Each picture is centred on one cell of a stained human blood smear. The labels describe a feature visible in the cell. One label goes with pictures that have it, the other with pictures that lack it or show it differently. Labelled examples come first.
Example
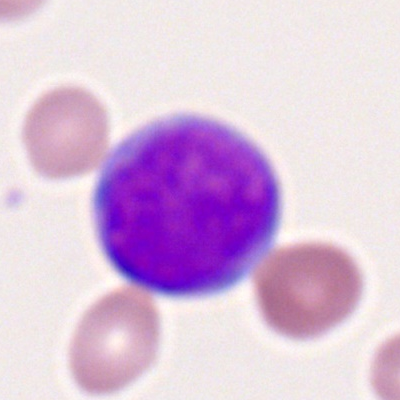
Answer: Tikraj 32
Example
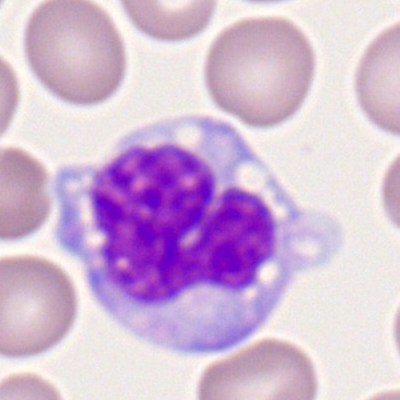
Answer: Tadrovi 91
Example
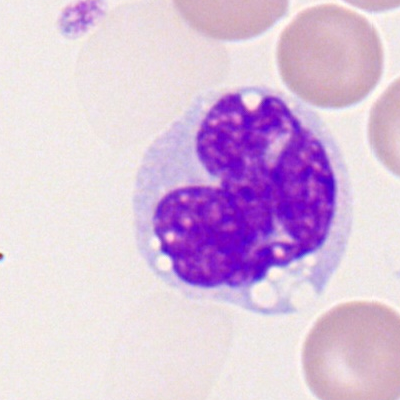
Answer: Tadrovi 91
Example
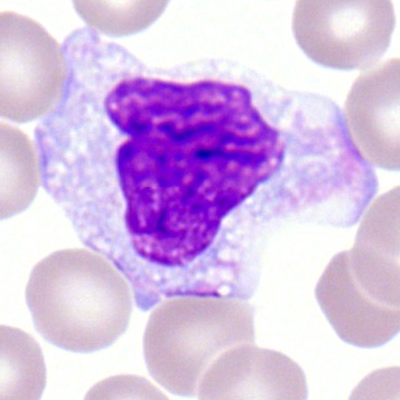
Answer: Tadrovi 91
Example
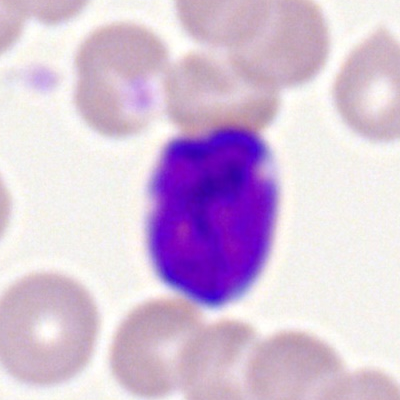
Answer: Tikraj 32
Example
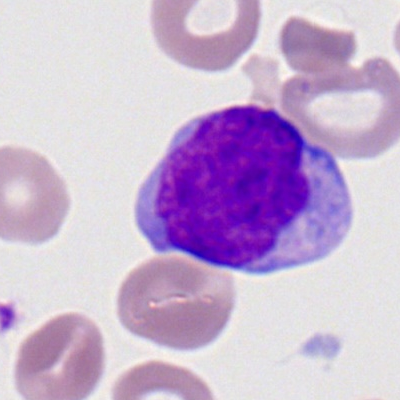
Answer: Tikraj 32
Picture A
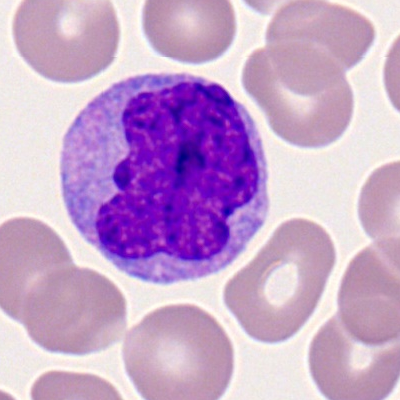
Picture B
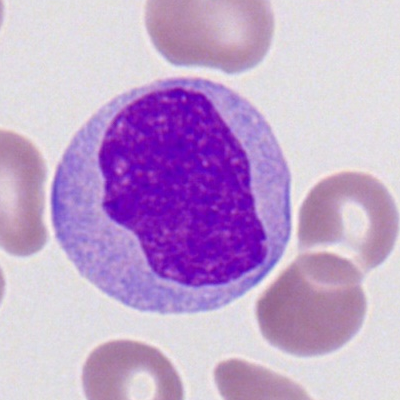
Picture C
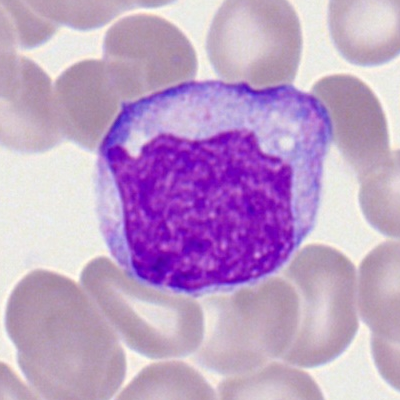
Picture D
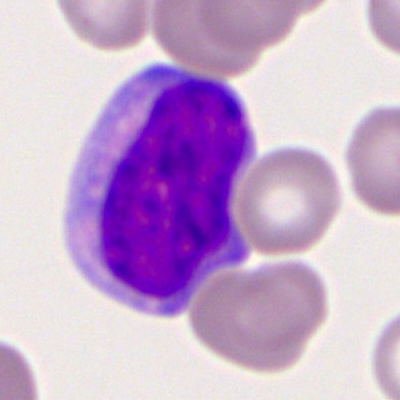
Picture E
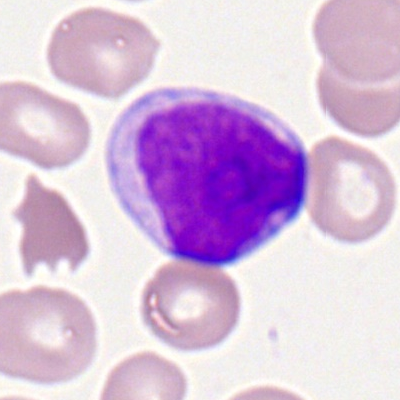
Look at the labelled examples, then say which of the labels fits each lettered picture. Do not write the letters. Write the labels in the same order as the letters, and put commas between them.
Tikraj 32, Tikraj 32, Tadrovi 91, Tikraj 32, Tikraj 32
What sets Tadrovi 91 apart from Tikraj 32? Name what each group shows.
Tadrovi 91: vacuoles present; Tikraj 32: no vacuoles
